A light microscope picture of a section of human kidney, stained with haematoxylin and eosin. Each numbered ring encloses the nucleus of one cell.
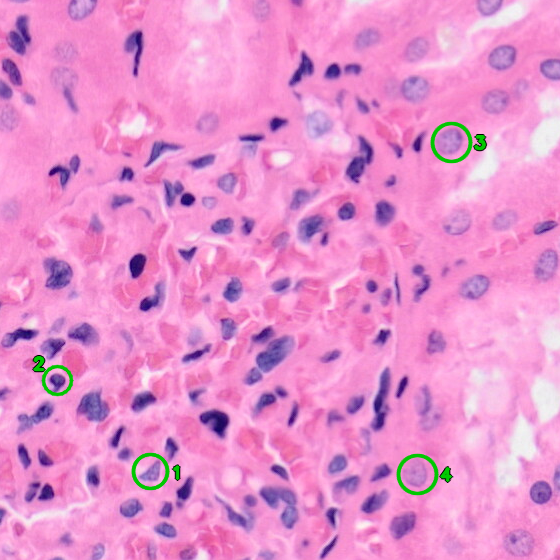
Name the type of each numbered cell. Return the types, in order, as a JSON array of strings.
["endothelial cell", "endothelial cell", "proximal tubule cell", "proximal tubule cell"]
